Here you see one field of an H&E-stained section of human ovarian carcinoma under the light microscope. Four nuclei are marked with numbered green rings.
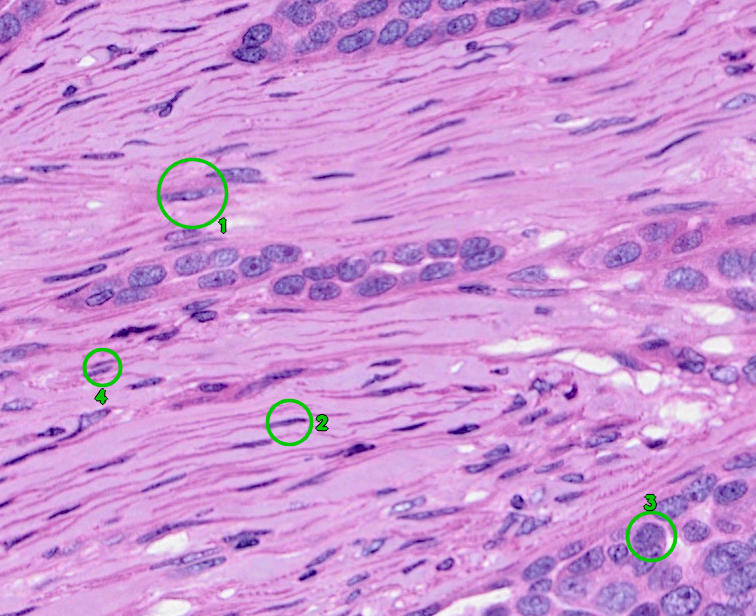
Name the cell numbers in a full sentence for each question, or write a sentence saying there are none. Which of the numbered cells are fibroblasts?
The cells the numbers 1, 2 and 4 point to are fibroblasts.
